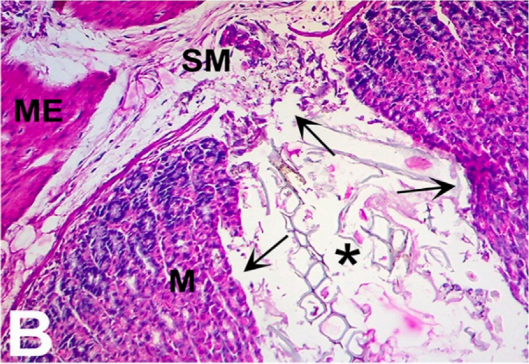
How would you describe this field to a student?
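This section of the glandular stomach shows an ulcer in which the mucosa is broken by a deep gap. The gland-filled mucosa on both sides of the gap ends in torn edges. The defect reaches down toward the loose pale submucosa. Pink smooth muscle of the muscular wall lies at the upper left.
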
